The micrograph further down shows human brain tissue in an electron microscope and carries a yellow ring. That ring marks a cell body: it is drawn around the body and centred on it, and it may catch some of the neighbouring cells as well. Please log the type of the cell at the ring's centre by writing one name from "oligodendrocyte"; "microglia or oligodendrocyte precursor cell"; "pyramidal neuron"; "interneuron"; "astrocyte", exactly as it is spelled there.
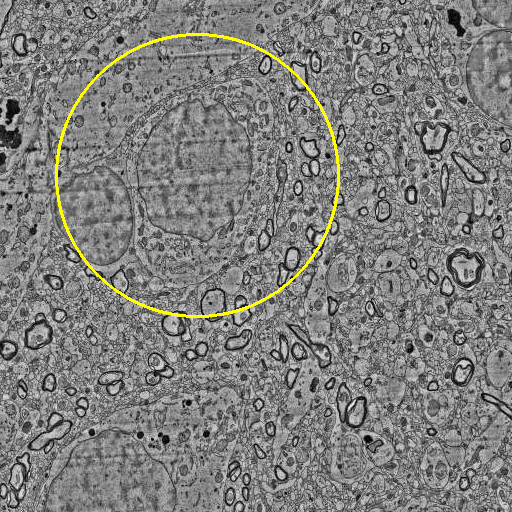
interneuron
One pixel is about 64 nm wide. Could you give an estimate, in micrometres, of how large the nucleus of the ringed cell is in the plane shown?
The nucleus of the ringed cell is approximately 9 by 7 micrometres in this plane.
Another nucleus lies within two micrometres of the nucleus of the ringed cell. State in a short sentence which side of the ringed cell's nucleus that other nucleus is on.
The second nucleus is to the lower left of it.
